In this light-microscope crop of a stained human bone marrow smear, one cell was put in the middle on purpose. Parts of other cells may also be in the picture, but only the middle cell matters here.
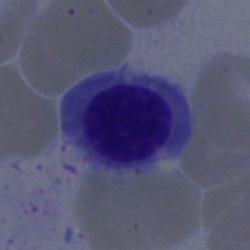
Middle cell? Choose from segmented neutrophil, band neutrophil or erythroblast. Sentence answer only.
The crop shows an erythroblast in its centre.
